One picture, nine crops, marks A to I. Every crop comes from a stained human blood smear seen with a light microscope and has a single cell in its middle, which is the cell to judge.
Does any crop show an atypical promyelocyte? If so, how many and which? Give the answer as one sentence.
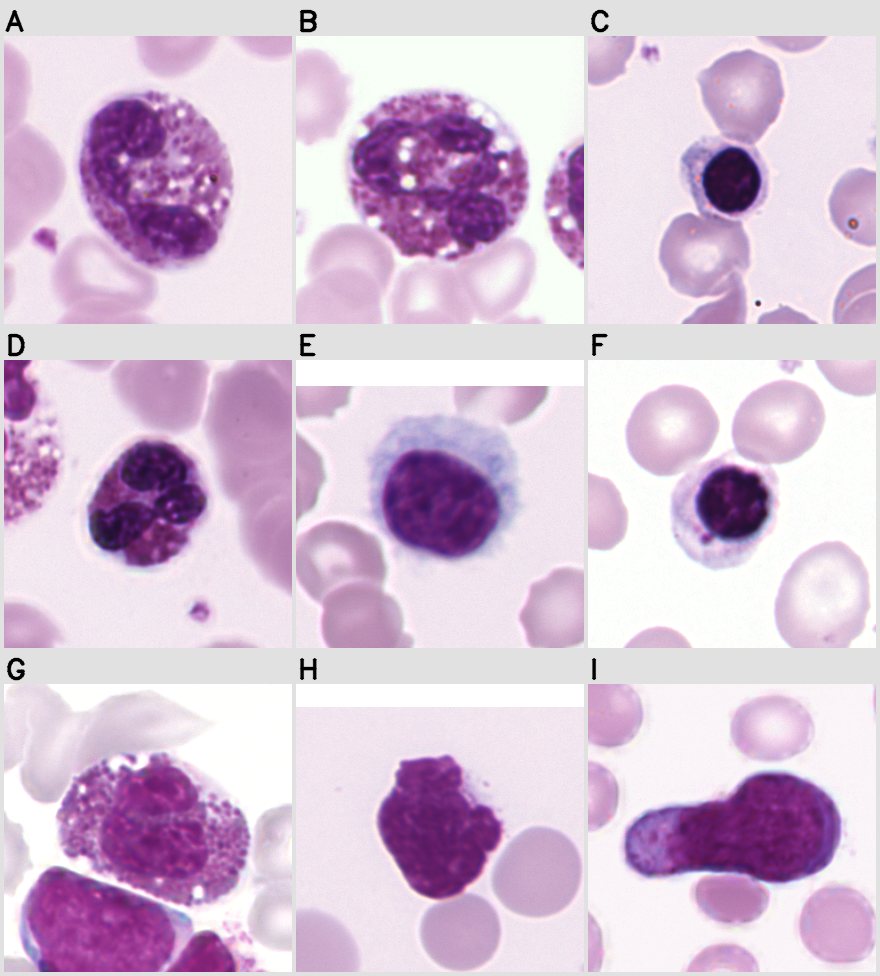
The crop with an atypical promyelocyte is crop I, and it is the only such crop.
